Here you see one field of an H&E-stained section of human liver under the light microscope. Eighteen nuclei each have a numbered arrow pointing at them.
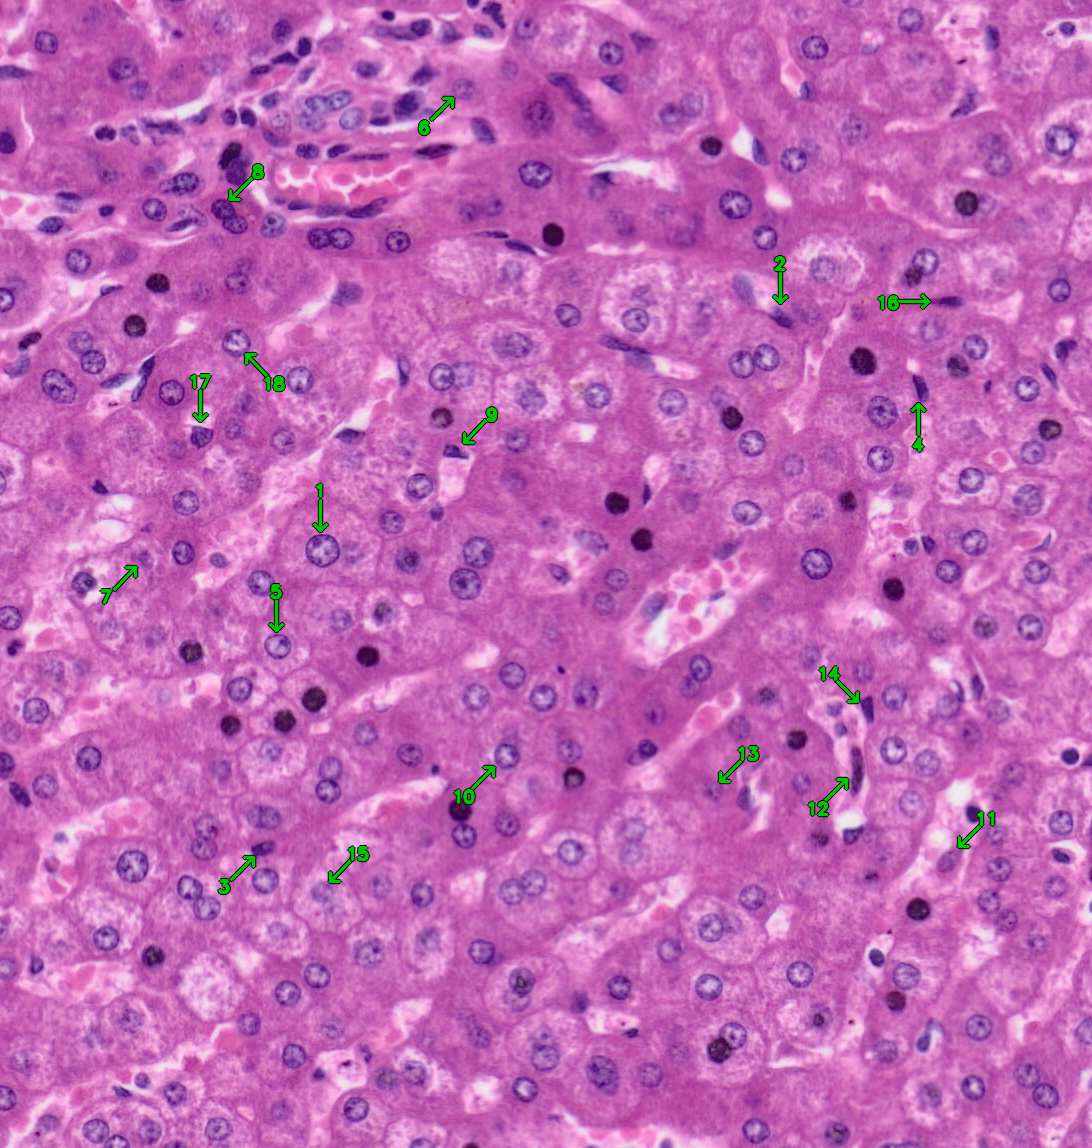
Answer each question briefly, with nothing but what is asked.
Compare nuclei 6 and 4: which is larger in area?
6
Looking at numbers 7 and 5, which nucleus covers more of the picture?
5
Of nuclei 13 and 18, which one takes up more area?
18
